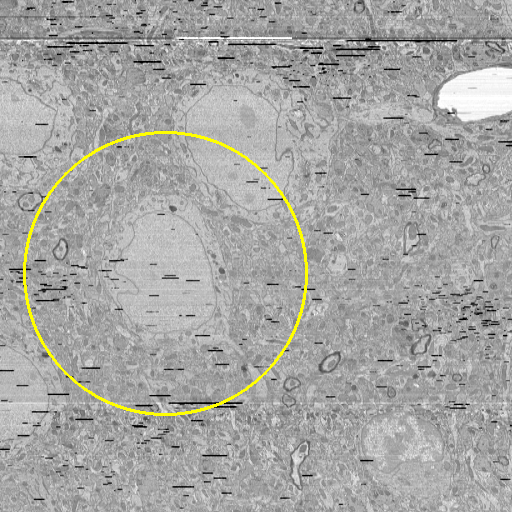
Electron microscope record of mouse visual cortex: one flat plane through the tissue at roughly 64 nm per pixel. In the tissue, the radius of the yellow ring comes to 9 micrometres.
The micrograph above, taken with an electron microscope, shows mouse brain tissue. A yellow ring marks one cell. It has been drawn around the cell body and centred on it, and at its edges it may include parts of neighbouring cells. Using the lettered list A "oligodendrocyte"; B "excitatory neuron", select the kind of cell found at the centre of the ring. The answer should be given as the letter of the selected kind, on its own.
B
